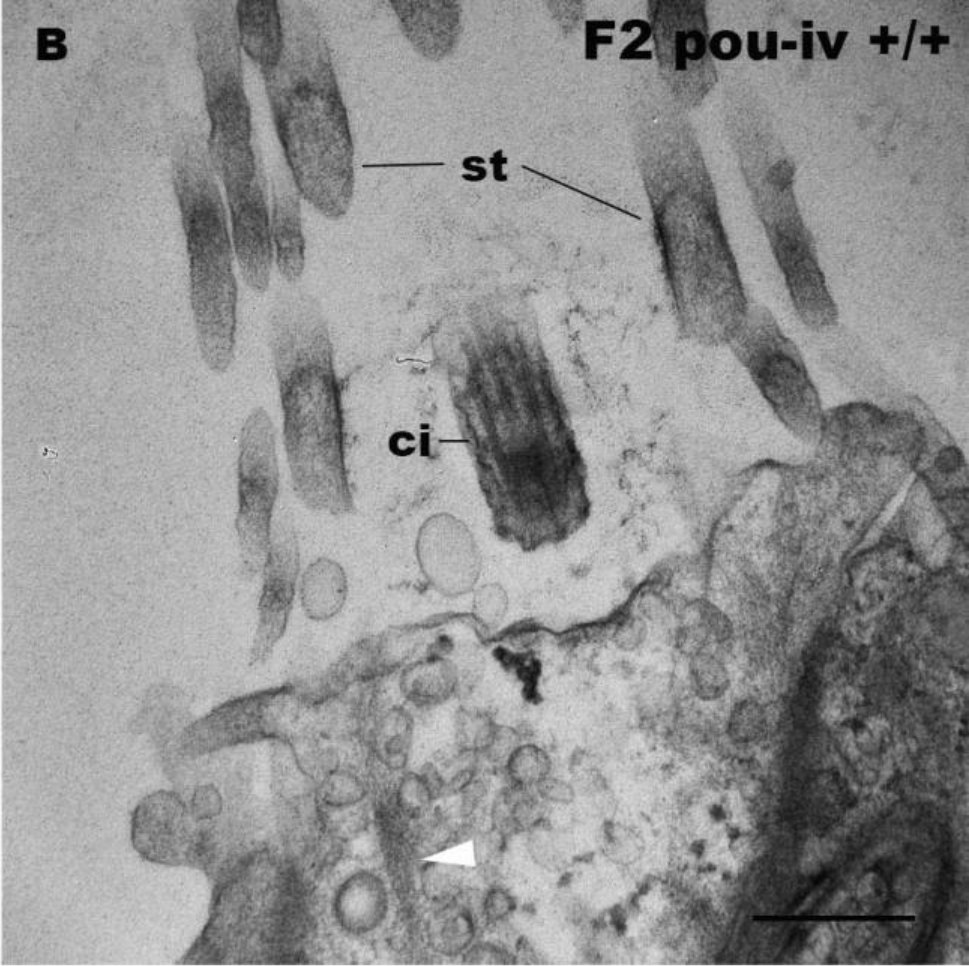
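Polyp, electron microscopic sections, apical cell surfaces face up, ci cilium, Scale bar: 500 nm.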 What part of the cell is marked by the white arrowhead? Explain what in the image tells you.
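Stereovillar rootlets. A thin dense strand runs down into the cytoplasm beneath the apical surface. The arrowhead lies on this strand among vesicles.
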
